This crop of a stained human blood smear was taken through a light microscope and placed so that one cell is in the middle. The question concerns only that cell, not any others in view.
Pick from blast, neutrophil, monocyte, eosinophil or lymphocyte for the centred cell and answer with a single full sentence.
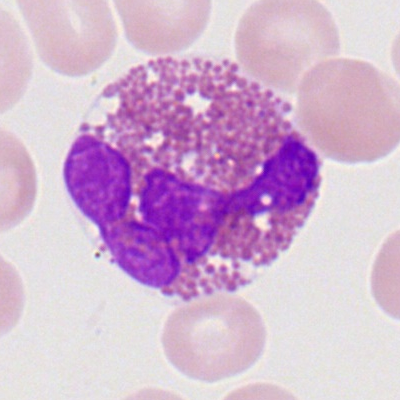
At the crop's centre, the cell is an eosinophil.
